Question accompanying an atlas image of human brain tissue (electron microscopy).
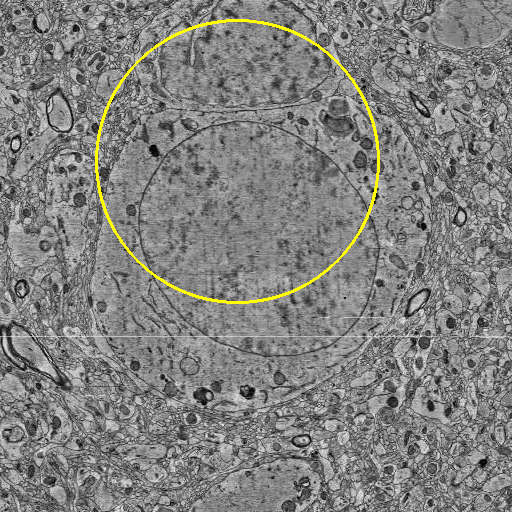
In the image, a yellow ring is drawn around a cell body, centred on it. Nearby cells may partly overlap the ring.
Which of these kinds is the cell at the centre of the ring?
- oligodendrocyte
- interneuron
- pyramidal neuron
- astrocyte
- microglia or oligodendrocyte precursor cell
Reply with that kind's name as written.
pyramidal neuron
